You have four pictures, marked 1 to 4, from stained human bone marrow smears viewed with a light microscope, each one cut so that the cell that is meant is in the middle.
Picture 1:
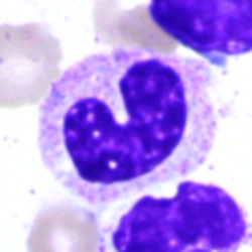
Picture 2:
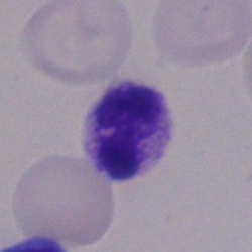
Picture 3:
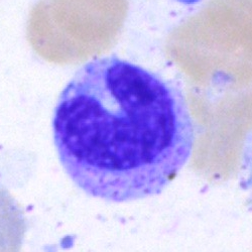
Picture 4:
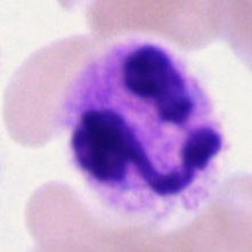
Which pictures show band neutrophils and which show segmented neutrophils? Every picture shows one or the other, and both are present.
1: band neutrophil
2: segmented neutrophil
3: band neutrophil
4: segmented neutrophil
